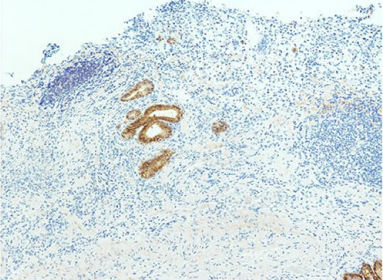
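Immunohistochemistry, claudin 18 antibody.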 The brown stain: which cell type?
glandular cells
